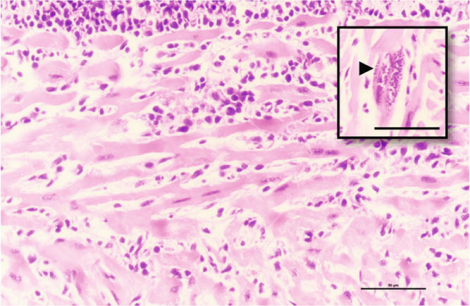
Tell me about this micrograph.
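This is heart muscle heavily invaded by mononuclear inflammatory cells. A dense sheet of small, round, dark purple nuclei fills the upper part of the field and spreads among the pink muscle fibres below. An enlarged view in the corner shows a single fibre holding a cluster of tiny dark dots, pointed to by an arrowhead.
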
